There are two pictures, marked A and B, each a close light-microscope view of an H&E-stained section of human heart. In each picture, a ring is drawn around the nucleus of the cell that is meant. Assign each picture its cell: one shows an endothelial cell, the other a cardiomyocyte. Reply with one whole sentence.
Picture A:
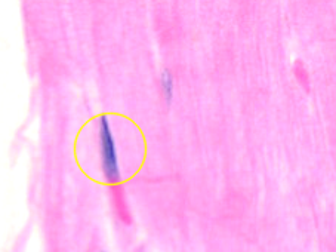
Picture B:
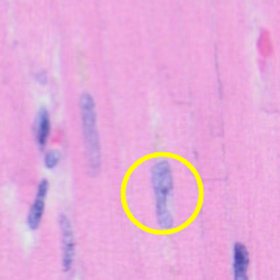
Picture B shows a cardiomyocyte, while picture A shows an endothelial cell.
